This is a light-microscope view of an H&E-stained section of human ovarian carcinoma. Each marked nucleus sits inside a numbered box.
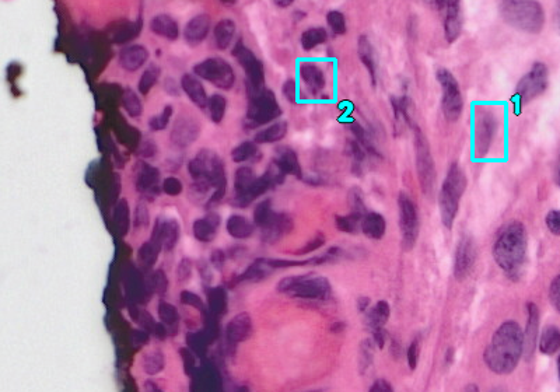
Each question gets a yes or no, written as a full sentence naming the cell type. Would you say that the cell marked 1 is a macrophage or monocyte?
No, number 1 marks a fibroblast rather than a macrophage or monocyte.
